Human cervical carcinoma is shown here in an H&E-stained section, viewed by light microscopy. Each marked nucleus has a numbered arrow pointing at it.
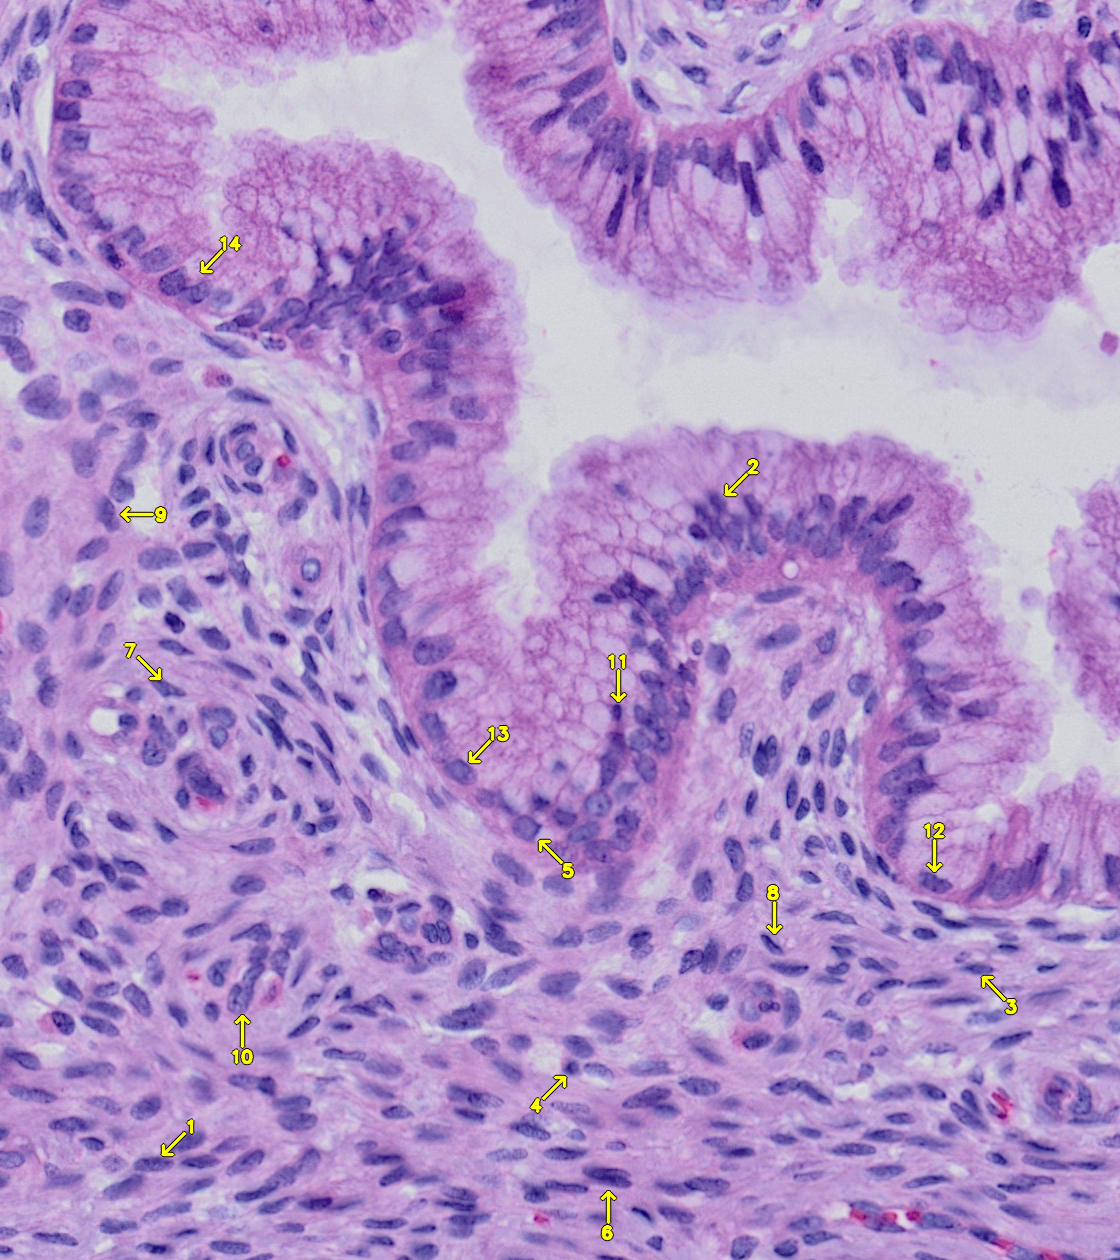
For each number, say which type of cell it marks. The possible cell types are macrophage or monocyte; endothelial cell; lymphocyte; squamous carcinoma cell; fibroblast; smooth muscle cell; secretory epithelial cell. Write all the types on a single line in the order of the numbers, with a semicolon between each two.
fibroblast; secretory epithelial cell; fibroblast; lymphocyte; secretory epithelial cell; fibroblast; fibroblast; fibroblast; fibroblast; endothelial cell; secretory epithelial cell; secretory epithelial cell; secretory epithelial cell; secretory epithelial cell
